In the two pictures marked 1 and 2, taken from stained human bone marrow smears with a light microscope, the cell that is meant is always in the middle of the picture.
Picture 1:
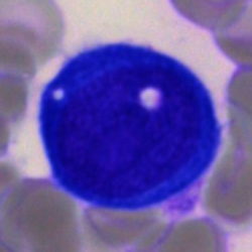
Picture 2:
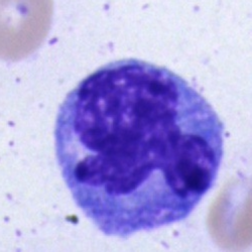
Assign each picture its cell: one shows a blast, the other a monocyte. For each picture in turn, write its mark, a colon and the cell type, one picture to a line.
1: blast
2: monocyte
